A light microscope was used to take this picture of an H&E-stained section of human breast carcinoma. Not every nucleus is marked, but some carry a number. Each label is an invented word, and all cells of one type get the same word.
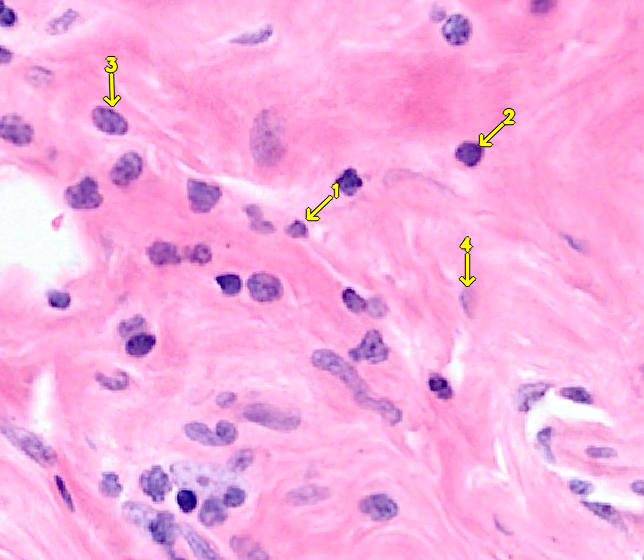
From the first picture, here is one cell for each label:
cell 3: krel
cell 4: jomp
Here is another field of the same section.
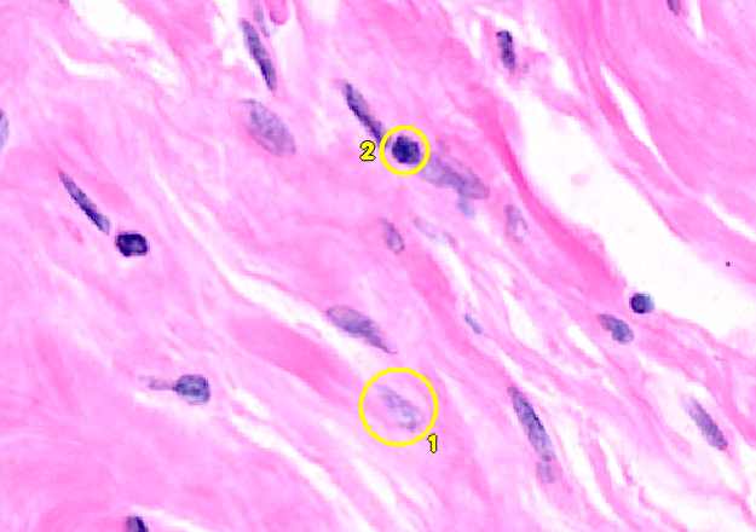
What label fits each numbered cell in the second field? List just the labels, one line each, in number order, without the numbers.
jomp
krel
